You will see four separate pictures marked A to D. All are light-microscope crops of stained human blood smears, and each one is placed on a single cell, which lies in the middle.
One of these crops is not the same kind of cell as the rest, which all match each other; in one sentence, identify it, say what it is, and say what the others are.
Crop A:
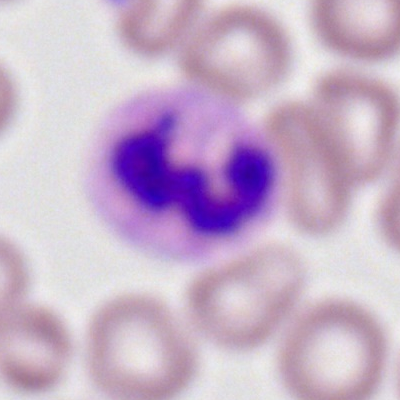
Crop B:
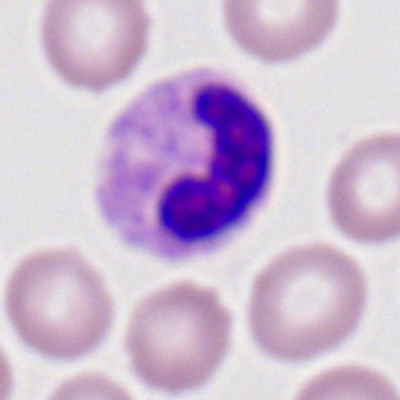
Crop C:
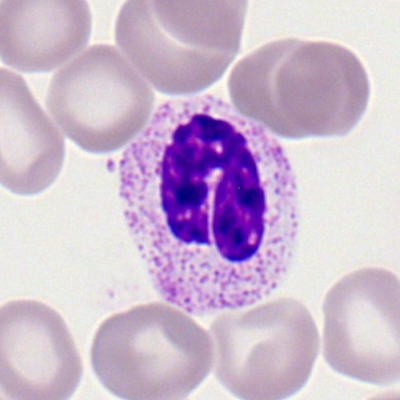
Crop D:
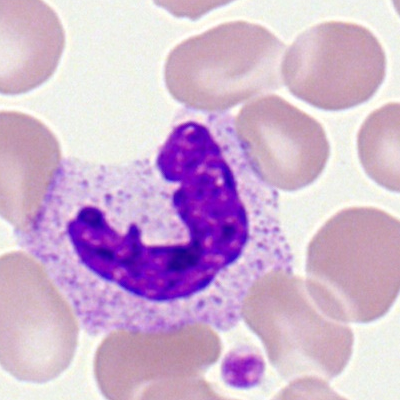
Crop A is the different one, a segmented neutrophil, while the rest are band neutrophils.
